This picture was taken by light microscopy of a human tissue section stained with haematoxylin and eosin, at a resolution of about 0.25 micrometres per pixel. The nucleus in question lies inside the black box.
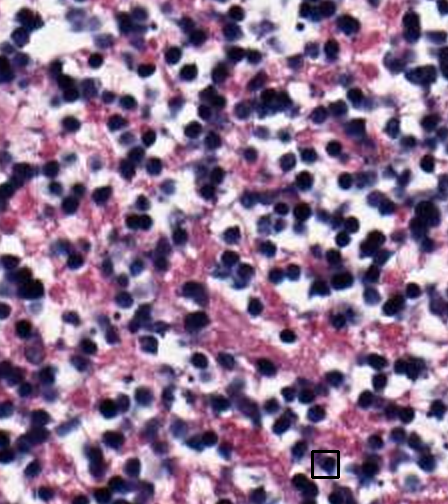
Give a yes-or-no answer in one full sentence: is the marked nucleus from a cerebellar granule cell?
Yes, the marked nucleus is present within a cerebellar granule cell.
